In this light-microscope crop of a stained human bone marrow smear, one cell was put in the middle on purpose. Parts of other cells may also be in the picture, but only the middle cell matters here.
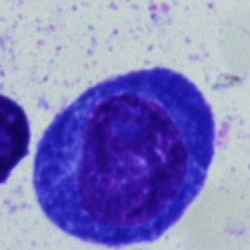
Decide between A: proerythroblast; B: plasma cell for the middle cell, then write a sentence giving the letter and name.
Since the middle cell is a plasma cell, option B is the right one.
